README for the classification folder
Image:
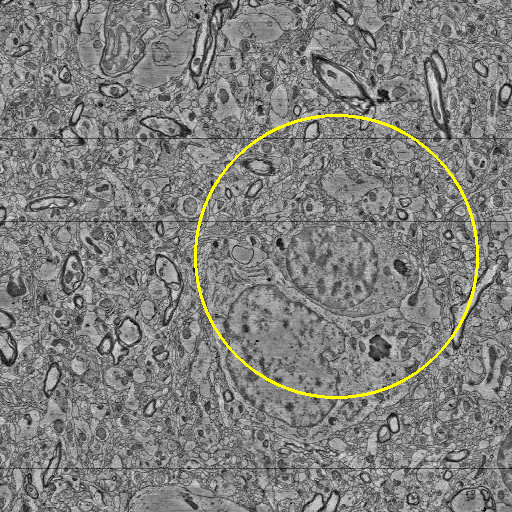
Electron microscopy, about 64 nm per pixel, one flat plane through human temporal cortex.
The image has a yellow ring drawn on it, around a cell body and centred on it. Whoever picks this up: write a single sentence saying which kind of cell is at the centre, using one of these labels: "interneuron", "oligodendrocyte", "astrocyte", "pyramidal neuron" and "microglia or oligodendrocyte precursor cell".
This cell body is that of an oligodendrocyte.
